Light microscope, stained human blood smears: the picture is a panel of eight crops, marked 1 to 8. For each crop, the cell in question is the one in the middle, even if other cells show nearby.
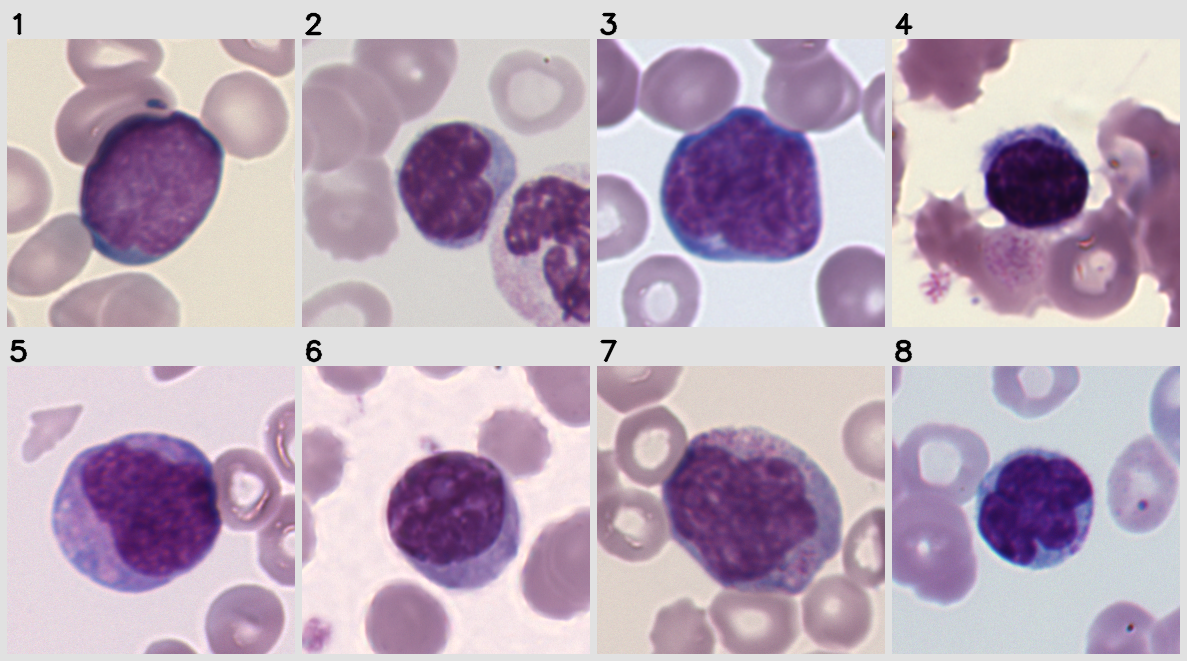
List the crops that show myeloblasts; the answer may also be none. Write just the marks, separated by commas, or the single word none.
1, 3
